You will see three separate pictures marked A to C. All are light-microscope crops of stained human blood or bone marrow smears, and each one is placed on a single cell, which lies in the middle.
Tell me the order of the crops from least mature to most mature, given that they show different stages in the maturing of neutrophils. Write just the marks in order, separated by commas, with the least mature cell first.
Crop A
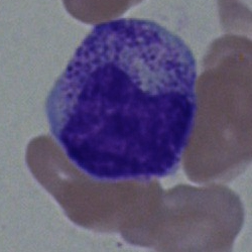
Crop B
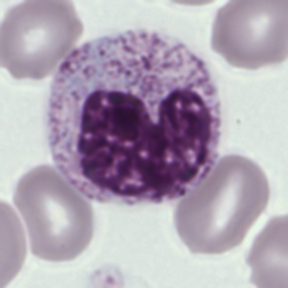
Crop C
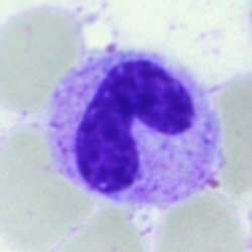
A, B, C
